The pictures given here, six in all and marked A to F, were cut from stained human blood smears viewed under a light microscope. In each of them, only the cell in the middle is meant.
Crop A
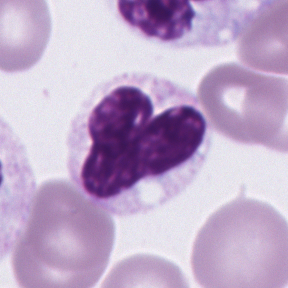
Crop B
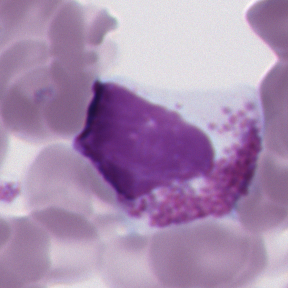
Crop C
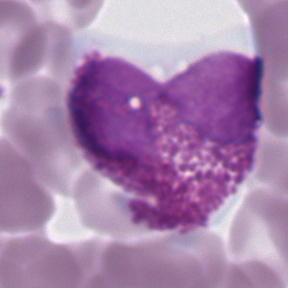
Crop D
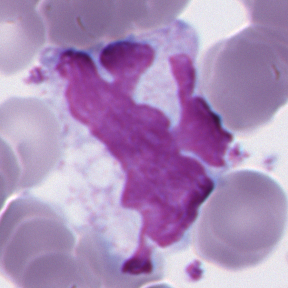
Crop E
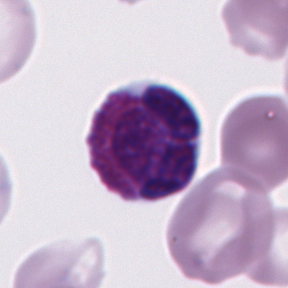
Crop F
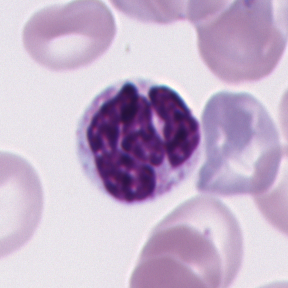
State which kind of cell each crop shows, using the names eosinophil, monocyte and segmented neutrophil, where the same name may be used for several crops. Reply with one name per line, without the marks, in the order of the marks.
segmented neutrophil
eosinophil
eosinophil
monocyte
eosinophil
segmented neutrophil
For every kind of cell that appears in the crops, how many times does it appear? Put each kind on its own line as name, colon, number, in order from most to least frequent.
eosinophil: 3
segmented neutrophil: 2
monocyte: 1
